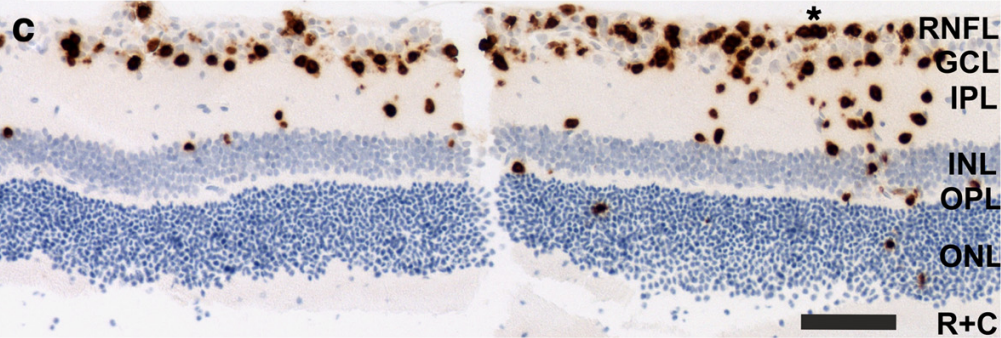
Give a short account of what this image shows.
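A cross section of retina with blue-stained nuclear layers and many small, round, dark brown cells crowded in the innermost layers. The brown cells are densest in the nerve fiber and ganglion cell layers, scattered through the pale inner plexiform layer, fewer in the inner nuclear layer and only occasional among the tightly packed nuclei of the outer nuclear layer.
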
